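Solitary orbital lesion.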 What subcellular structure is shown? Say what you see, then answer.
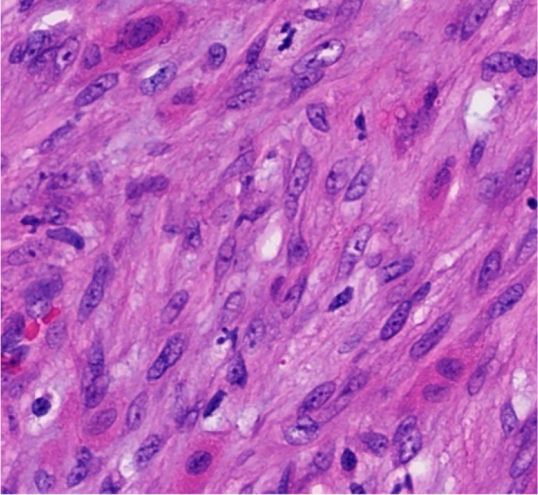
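Nuclei are oval and plump rather than thin and wavy.
Hence: plump oval nuclei.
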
